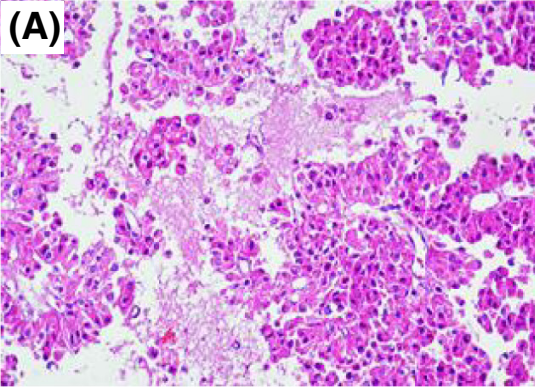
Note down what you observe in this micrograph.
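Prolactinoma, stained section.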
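Tumour of uniform, monomorphic cells with pink, eosinophilic cytoplasm, arranged in solid nests and sheets. Nuclei are round to oval, dark purple and of similar size throughout. Cell borders are fairly distinct and the cytoplasm is moderately abundant. The nests are separated by pale, loose, finely granular material with a few red blood cells. No marked variation in cell size or nuclear form is seen.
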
